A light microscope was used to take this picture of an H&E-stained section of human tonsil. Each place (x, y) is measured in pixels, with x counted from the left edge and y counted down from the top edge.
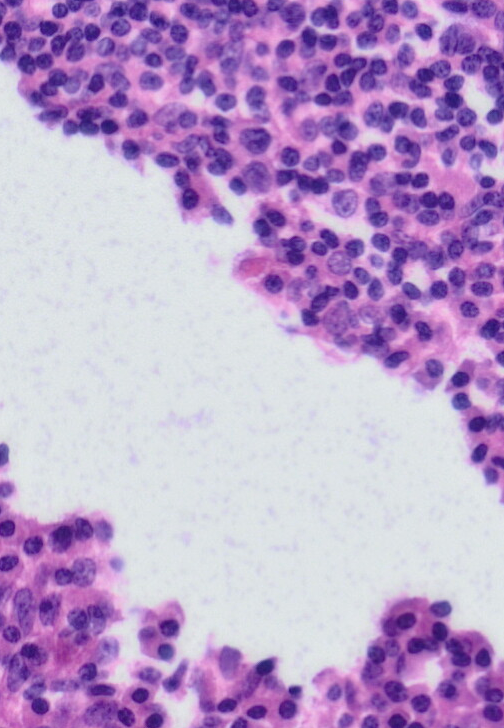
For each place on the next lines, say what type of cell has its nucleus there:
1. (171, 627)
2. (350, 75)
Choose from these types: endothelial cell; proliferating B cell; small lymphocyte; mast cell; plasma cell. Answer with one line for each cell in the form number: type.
1: plasma cell
2: small lymphocyte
